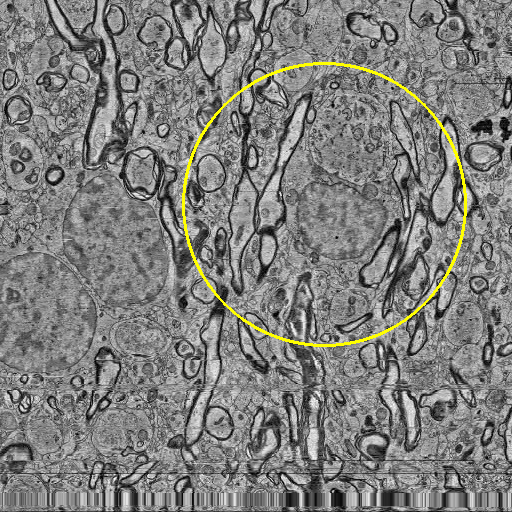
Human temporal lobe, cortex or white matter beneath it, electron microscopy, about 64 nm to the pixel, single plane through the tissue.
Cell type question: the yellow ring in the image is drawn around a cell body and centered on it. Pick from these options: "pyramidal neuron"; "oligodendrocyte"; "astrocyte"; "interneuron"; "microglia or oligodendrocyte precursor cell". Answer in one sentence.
The ringed cell at the center is an oligodendrocyte.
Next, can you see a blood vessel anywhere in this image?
No, none is visible.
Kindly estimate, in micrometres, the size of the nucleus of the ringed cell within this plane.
About 5 micrometres across in this plane, for the nucleus.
